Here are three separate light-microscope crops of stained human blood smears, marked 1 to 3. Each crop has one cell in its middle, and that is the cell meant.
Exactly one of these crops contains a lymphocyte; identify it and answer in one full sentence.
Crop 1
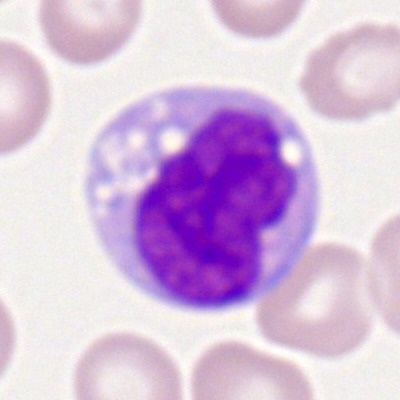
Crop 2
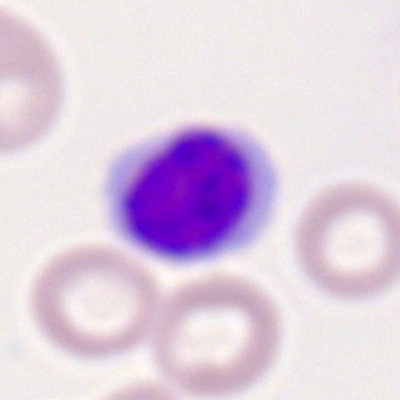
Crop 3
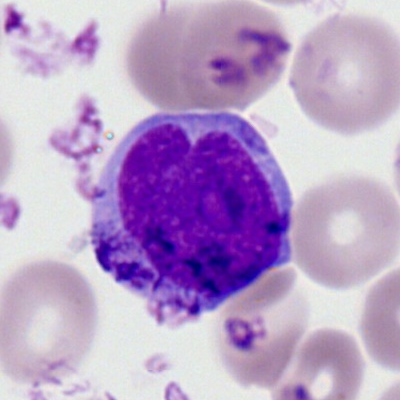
The one crop in the set with a lymphocyte is crop 2.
